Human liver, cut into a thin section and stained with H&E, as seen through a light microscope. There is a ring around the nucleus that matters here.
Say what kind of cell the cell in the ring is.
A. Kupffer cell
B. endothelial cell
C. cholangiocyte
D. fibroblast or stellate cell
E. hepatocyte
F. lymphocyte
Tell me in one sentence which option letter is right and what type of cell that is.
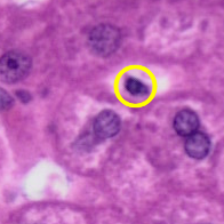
Option F is the right choice, for the cell in the ring is a lymphocyte.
